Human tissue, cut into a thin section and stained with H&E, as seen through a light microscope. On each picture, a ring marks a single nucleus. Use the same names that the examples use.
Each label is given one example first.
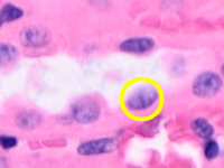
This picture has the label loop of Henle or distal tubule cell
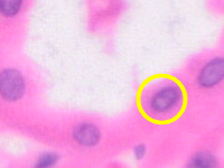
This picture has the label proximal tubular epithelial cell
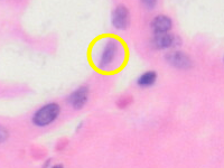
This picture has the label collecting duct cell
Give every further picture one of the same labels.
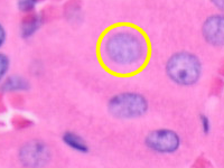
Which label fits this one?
proximal tubular epithelial cell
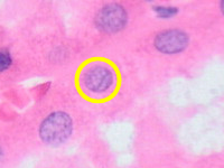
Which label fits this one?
proximal tubular epithelial cell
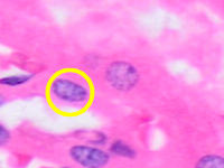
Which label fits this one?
collecting duct cell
